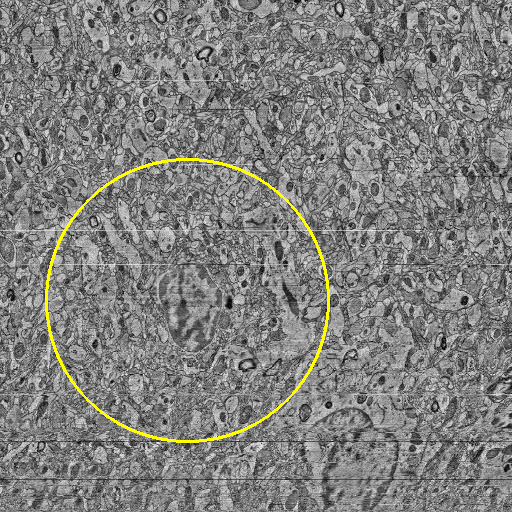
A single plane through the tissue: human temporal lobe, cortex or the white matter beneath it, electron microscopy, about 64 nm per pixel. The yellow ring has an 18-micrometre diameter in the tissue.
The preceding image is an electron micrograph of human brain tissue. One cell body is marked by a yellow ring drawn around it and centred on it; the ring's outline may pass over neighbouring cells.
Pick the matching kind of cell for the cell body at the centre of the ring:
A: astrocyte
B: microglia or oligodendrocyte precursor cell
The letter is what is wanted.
B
